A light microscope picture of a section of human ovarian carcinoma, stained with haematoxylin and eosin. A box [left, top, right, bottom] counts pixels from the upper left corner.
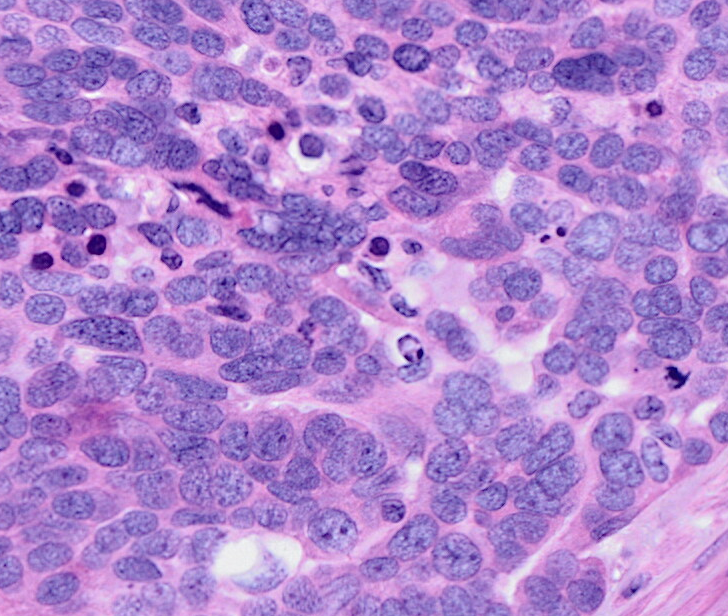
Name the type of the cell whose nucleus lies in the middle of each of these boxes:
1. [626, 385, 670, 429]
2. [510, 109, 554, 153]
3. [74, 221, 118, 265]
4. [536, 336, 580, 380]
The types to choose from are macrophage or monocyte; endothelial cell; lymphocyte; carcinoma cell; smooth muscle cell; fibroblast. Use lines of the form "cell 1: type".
cell 1: macrophage or monocyte
cell 2: carcinoma cell
cell 3: carcinoma cell
cell 4: carcinoma cell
